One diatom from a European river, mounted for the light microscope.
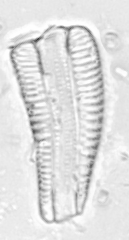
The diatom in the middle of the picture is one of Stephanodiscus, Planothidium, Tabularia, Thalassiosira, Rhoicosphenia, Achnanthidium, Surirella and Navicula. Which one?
Rhoicosphenia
